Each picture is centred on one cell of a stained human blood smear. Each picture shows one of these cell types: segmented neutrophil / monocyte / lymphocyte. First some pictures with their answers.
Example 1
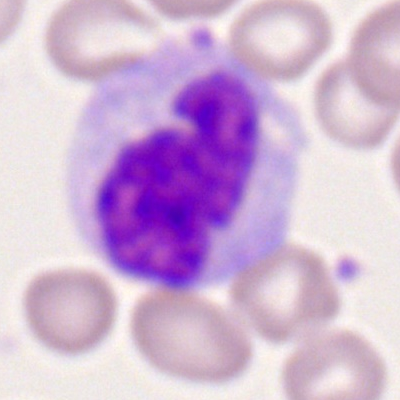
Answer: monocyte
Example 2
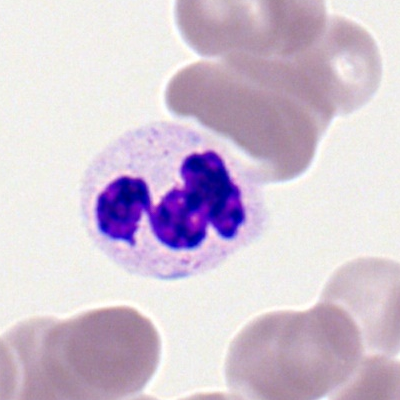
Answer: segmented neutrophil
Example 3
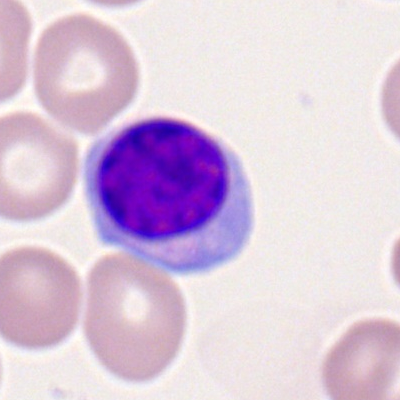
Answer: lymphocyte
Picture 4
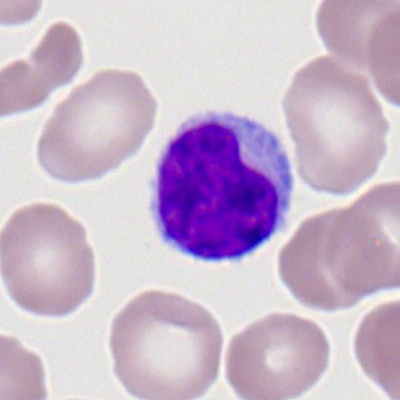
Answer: lymphocyte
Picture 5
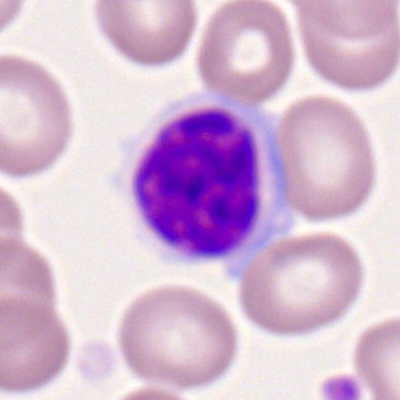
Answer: lymphocyte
